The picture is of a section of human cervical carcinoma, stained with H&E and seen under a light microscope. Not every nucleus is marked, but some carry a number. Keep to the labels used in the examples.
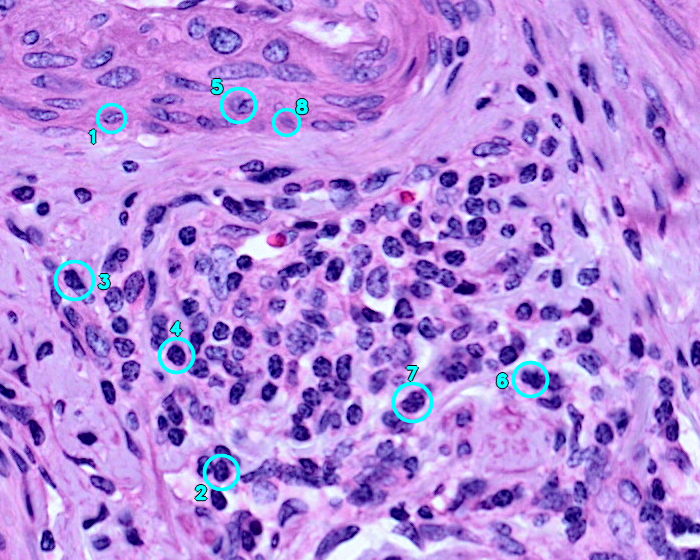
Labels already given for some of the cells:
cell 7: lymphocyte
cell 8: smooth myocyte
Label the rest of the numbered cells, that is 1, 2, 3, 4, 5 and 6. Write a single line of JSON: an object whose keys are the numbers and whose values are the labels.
{"1": "smooth myocyte", "2": "lymphocyte", "3": "lymphocyte", "4": "lymphocyte", "5": "smooth myocyte", "6": "lymphocyte"}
